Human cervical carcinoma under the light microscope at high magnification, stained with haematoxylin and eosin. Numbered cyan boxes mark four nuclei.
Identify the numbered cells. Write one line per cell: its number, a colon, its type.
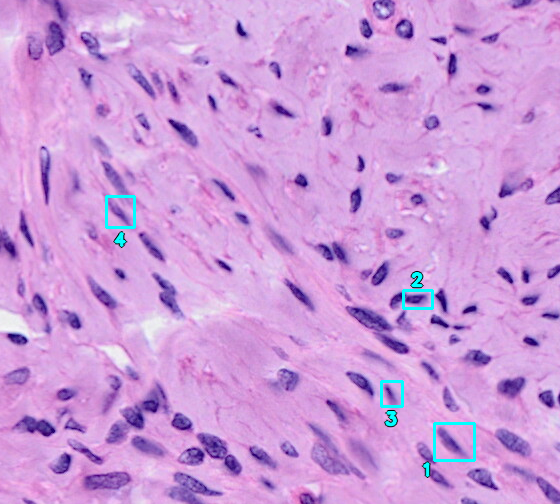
1: fibroblast
2: fibroblast
3: fibroblast
4: smooth muscle cell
